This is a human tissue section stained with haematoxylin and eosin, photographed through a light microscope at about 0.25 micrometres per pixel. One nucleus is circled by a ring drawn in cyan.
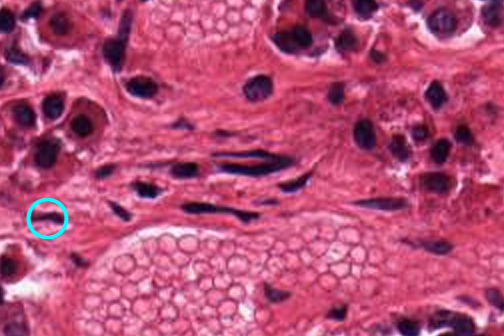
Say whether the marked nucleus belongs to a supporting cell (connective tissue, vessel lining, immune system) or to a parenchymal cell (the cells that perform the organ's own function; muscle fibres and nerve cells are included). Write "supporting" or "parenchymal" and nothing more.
supporting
